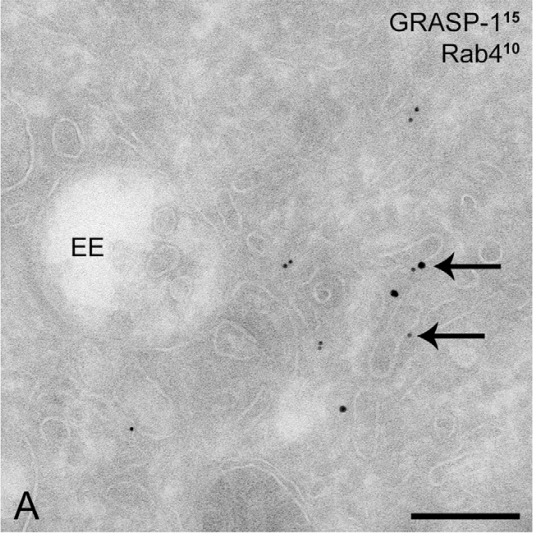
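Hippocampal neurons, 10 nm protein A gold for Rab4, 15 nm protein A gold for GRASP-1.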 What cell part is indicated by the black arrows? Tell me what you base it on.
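The arrows point at gold particles lying on narrow elongated membrane profiles. These profiles lie to the side of a large round pale vacuole. On this evidence: tubular endosomal membrane.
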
